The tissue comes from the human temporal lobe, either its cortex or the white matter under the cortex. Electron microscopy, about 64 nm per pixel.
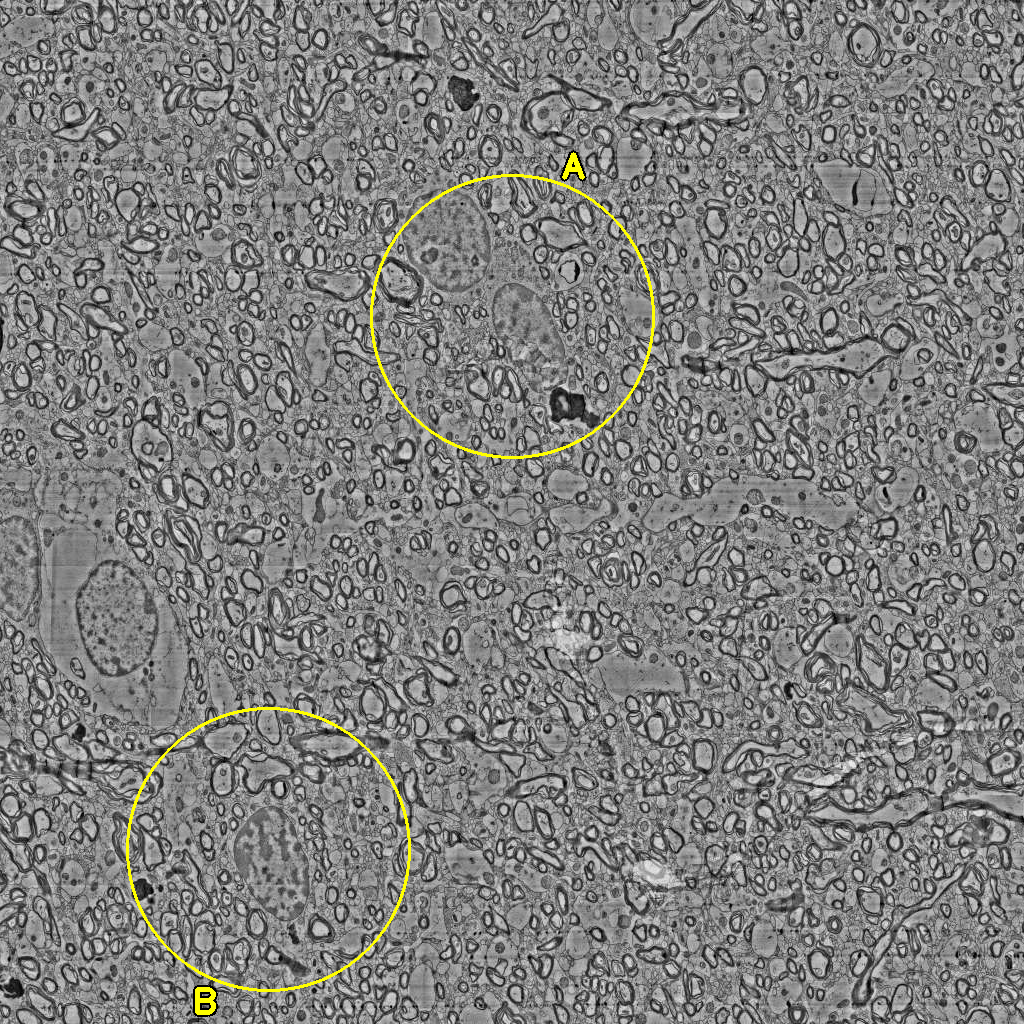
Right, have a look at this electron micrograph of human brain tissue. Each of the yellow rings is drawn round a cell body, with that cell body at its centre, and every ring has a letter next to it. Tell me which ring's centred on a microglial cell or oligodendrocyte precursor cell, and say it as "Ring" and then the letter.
Ring B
